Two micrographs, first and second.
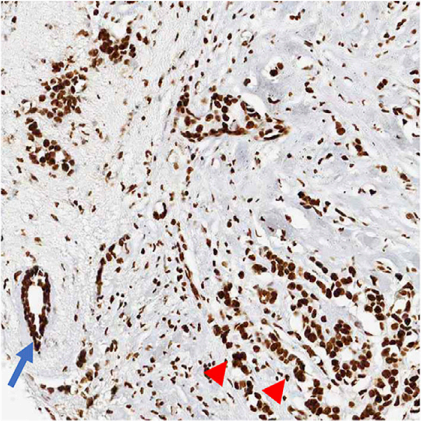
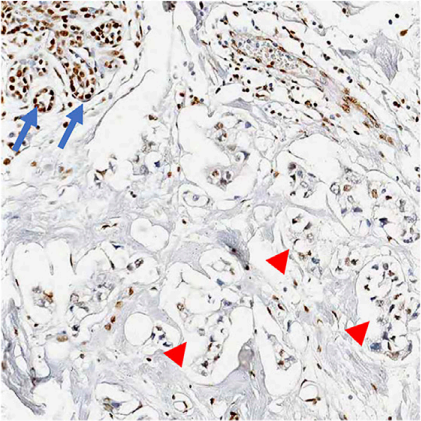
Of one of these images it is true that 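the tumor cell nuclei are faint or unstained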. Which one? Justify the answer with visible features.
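First image: nearly all tumor cell nuclei are dark brown.
Conclusion: the second image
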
